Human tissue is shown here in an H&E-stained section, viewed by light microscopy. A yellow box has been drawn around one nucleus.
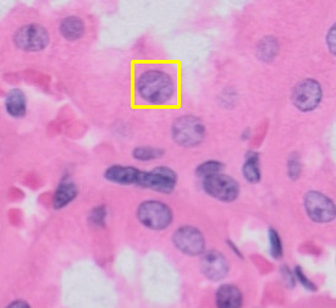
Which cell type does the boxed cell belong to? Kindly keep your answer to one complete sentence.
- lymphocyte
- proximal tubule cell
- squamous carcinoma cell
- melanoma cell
The identity of the boxed cell: it is a proximal tubule cell.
